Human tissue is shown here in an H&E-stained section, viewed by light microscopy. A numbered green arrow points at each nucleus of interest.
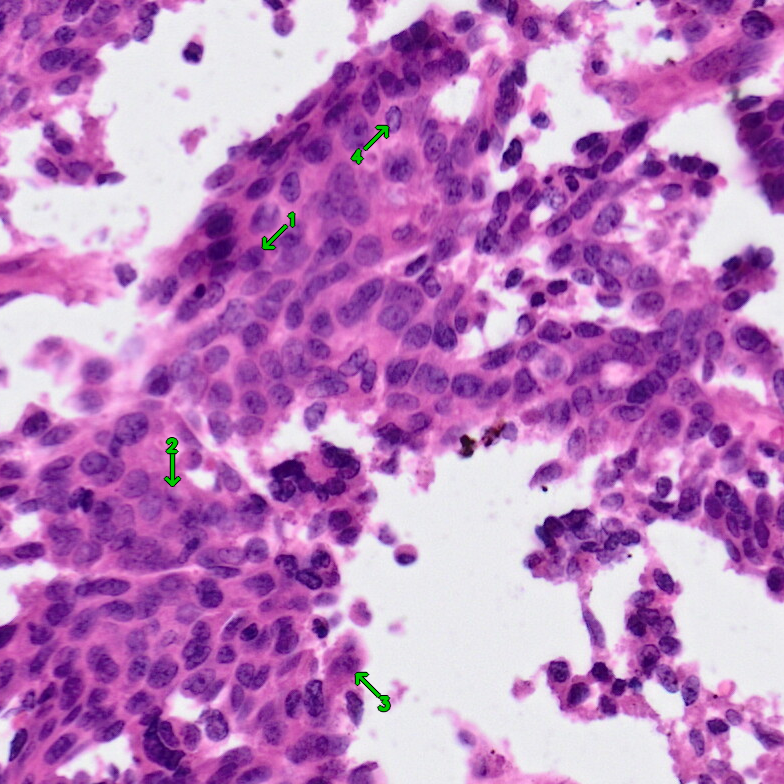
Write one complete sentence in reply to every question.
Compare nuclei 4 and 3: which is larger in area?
It is nucleus 3, which covers about 1.5 times the area of nucleus 4.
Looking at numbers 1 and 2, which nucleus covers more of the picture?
Nucleus 1 covers more area, about 2 times as much as nucleus 2.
